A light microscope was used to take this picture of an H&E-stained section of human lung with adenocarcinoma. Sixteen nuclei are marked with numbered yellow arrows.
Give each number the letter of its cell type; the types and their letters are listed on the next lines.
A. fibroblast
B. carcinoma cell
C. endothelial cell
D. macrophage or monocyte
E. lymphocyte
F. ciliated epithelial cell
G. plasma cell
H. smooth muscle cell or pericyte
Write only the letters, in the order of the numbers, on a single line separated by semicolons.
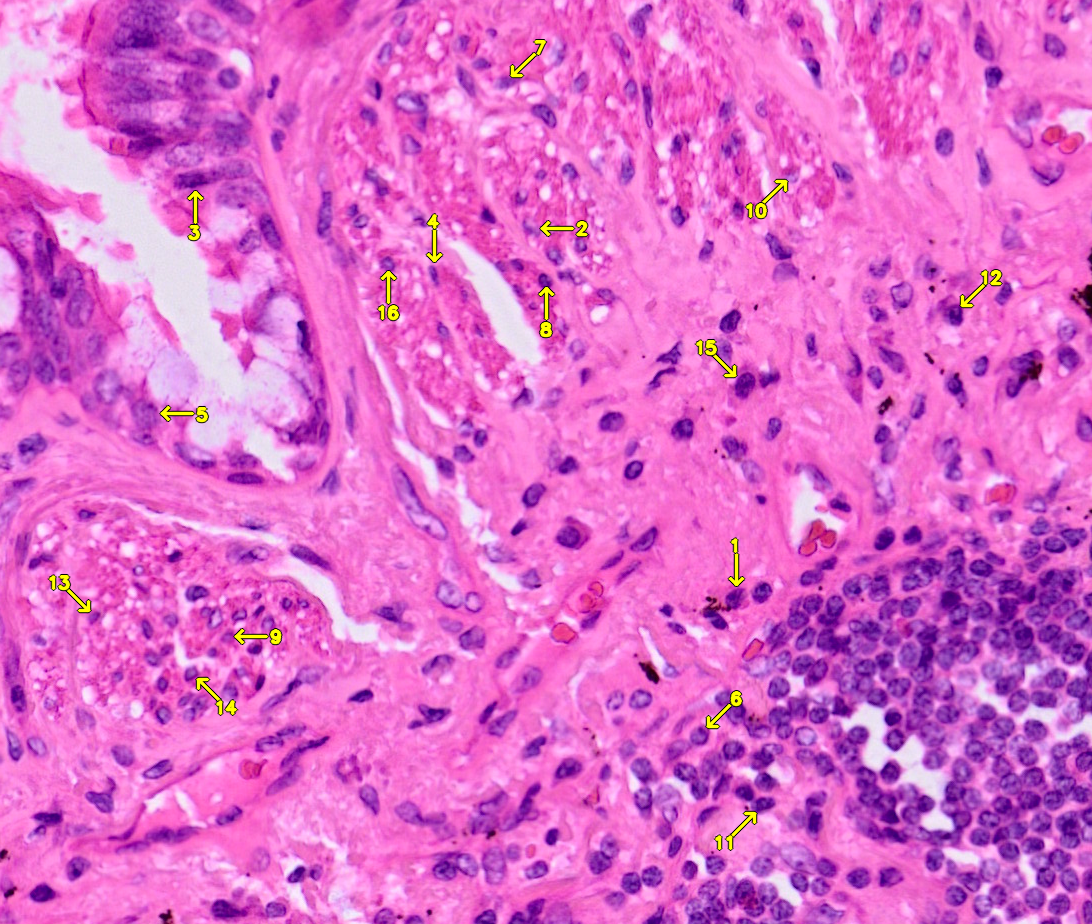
G; H; F; H; F; E; H; H; H; H; E; G; H; H; G; H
